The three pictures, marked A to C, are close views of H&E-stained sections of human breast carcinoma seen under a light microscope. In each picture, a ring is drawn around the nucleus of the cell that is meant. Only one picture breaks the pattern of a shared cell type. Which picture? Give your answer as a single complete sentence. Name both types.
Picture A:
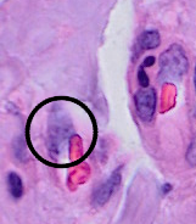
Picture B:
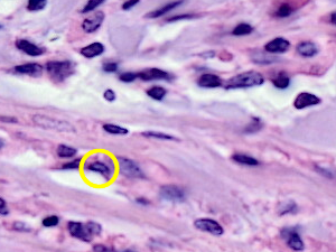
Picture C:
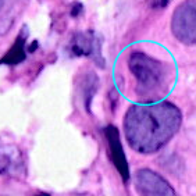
The different one is picture C; it shows a carcinoma cell, whereas all the others show endothelial cells.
